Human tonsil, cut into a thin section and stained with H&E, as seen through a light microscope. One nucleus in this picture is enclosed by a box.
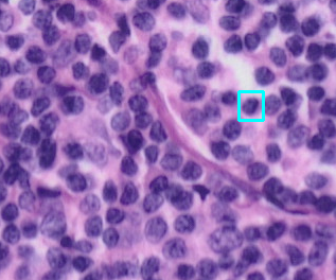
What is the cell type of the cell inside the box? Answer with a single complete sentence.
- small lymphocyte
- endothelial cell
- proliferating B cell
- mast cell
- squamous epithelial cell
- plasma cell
Considered by cell type, the cell inside the box is a small lymphocyte.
